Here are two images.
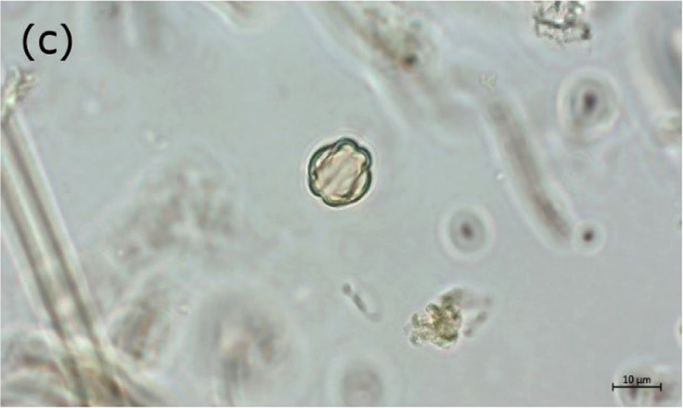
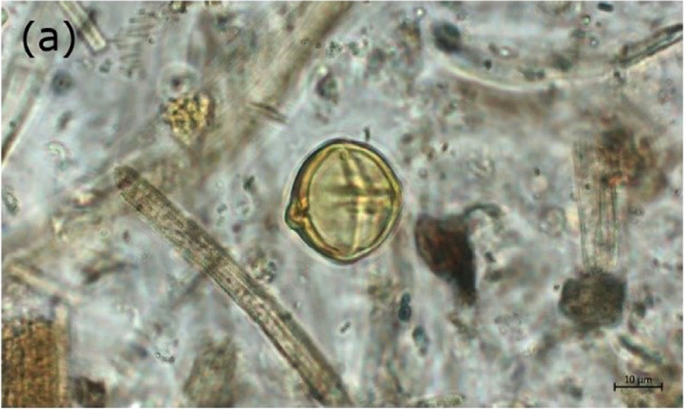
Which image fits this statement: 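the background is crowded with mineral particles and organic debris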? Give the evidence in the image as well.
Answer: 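The second image. First image: a small grain lies in a mostly clear, pale background with few particles. Second image: the grain is surrounded by many fibres, brown fragments and granular debris.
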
